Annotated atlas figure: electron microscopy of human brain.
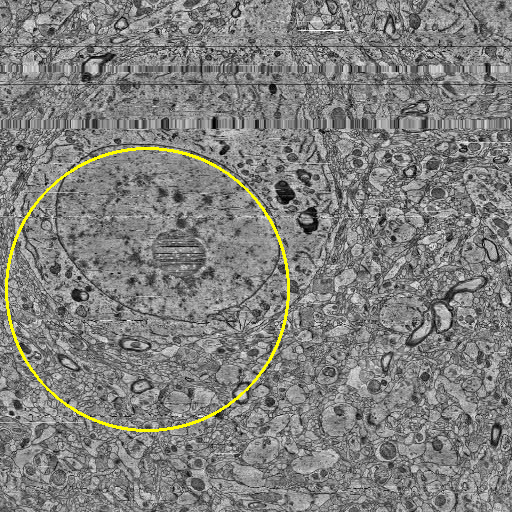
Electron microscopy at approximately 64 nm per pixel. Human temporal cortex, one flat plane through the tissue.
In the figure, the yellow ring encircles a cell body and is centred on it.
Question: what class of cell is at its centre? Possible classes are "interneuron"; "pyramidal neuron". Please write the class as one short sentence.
The yellow ring is drawn around a pyramidal neuron.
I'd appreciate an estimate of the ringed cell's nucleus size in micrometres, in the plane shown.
The nucleus has a long axis of about 15 micrometres and a short axis of about 11 micrometres in this plane.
